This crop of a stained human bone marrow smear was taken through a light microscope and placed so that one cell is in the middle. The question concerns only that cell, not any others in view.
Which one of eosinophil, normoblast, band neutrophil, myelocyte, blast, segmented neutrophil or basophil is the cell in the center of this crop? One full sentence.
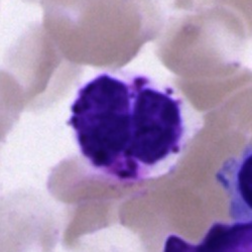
Within this crop, a basophil occupies the central position.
